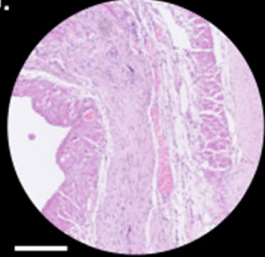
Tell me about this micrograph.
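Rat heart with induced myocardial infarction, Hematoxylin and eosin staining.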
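On the left an empty white space borders a band of pink cardiac muscle whose edge is folded and irregular. Toward the middle and right the tissue is a paler, more homogeneous and fibrous-looking pink, with long wavy strands running roughly from top to bottom. On the right, muscle bundles cut across appear as pink blocks separated by pale spaces. Small dark purple nuclei are scattered through the tissue, but individual cell outlines are hard to make out at this magnification.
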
